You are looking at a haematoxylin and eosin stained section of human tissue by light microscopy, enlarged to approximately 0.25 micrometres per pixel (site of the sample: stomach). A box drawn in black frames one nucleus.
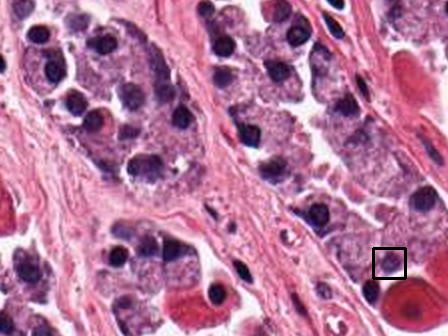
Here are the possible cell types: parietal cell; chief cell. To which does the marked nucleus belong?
chief cell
